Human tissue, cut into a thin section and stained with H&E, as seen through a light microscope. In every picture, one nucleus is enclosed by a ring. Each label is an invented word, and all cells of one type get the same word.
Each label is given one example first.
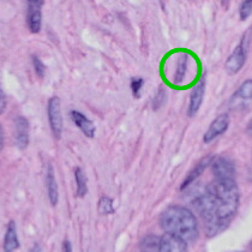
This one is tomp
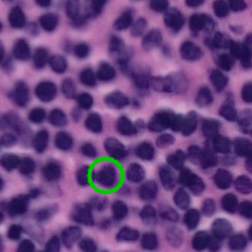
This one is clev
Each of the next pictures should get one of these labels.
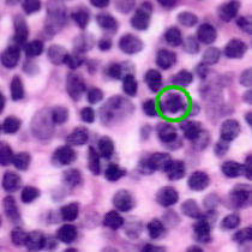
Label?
clev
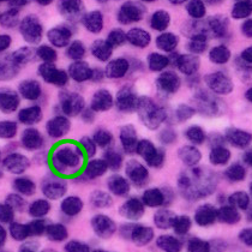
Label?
clev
